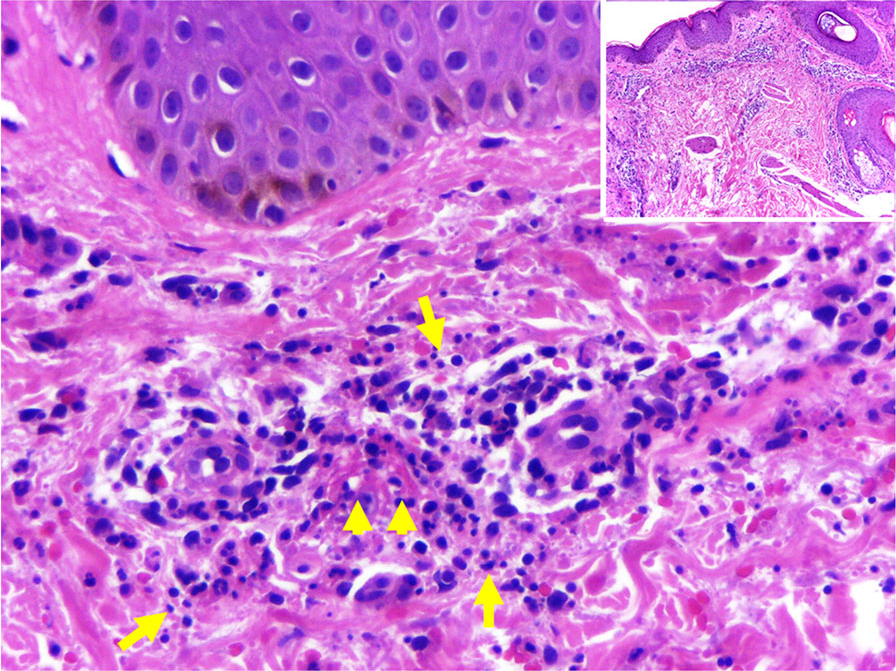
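This is the superficial dermis of skin just beneath the epidermis, whose lower layers hold brown pigment. Small vessels are crowded by a dense cuff of inflammatory cells with many small, dark nuclear fragments. Red blood cells lie free in the surrounding collagen.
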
